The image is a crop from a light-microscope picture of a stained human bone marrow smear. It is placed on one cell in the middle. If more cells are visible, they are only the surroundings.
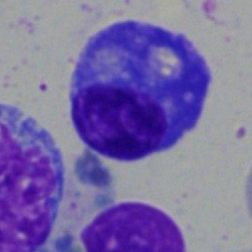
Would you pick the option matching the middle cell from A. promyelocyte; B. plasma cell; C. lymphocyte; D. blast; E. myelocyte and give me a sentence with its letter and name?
The centered cell is a plasma cell, which is why option B is right.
